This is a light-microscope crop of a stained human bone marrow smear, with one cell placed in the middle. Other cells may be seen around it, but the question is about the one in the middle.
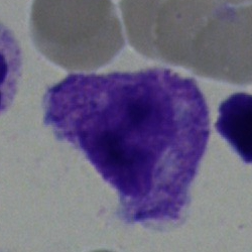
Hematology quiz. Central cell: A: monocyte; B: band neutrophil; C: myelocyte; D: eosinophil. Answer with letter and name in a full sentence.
With the cell in the middle being a myelocyte, option C is the correct choice.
